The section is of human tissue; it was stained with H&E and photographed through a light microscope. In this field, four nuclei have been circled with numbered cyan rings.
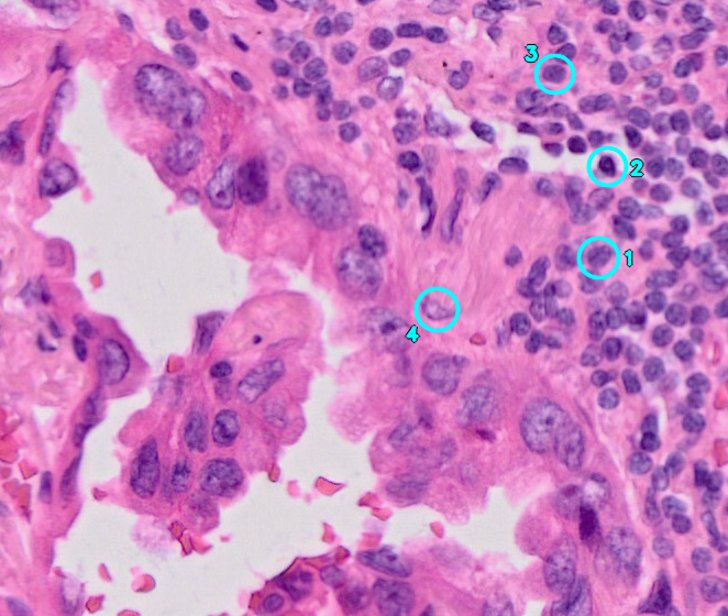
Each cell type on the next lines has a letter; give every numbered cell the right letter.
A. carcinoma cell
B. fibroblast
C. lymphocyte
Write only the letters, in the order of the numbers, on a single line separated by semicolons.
C; C; C; B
